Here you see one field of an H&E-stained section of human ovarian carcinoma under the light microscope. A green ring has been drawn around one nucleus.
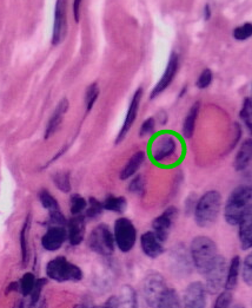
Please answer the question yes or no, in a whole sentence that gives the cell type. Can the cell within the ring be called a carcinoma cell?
No, an endothelial cell is what the cell within the ring is, not a carcinoma cell.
